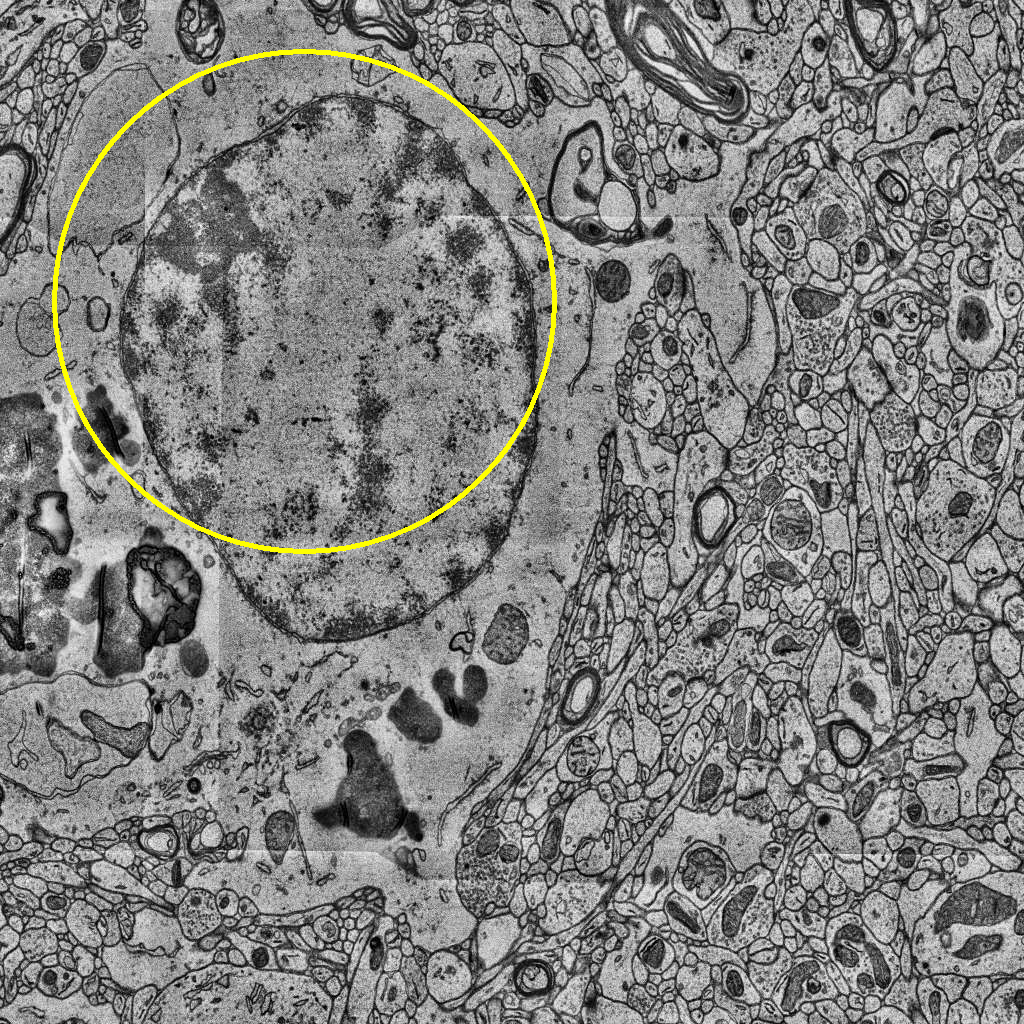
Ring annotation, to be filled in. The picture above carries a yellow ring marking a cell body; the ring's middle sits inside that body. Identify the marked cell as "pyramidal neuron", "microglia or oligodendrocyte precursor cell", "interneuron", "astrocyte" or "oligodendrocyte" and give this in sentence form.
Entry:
The cell at the middle of the ring is an astrocyte.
